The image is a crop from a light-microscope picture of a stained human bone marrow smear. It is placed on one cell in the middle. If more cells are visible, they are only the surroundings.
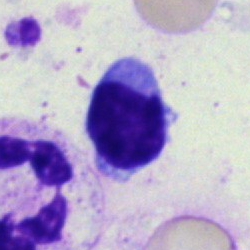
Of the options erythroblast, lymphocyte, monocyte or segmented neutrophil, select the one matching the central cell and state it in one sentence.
The target cell in the middle of the crop is a lymphocyte.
